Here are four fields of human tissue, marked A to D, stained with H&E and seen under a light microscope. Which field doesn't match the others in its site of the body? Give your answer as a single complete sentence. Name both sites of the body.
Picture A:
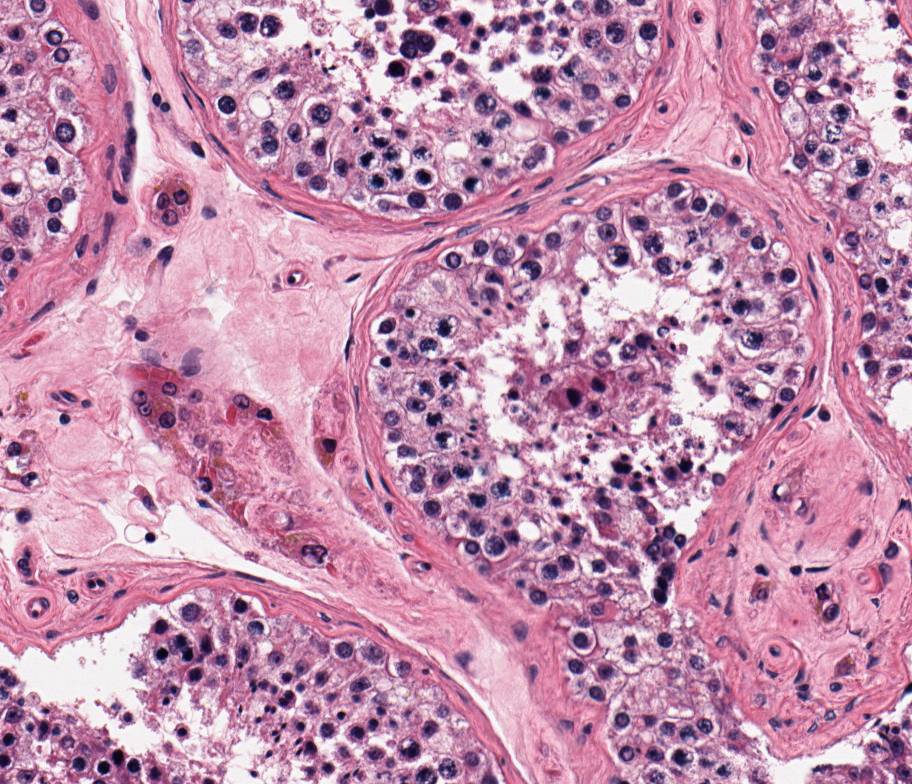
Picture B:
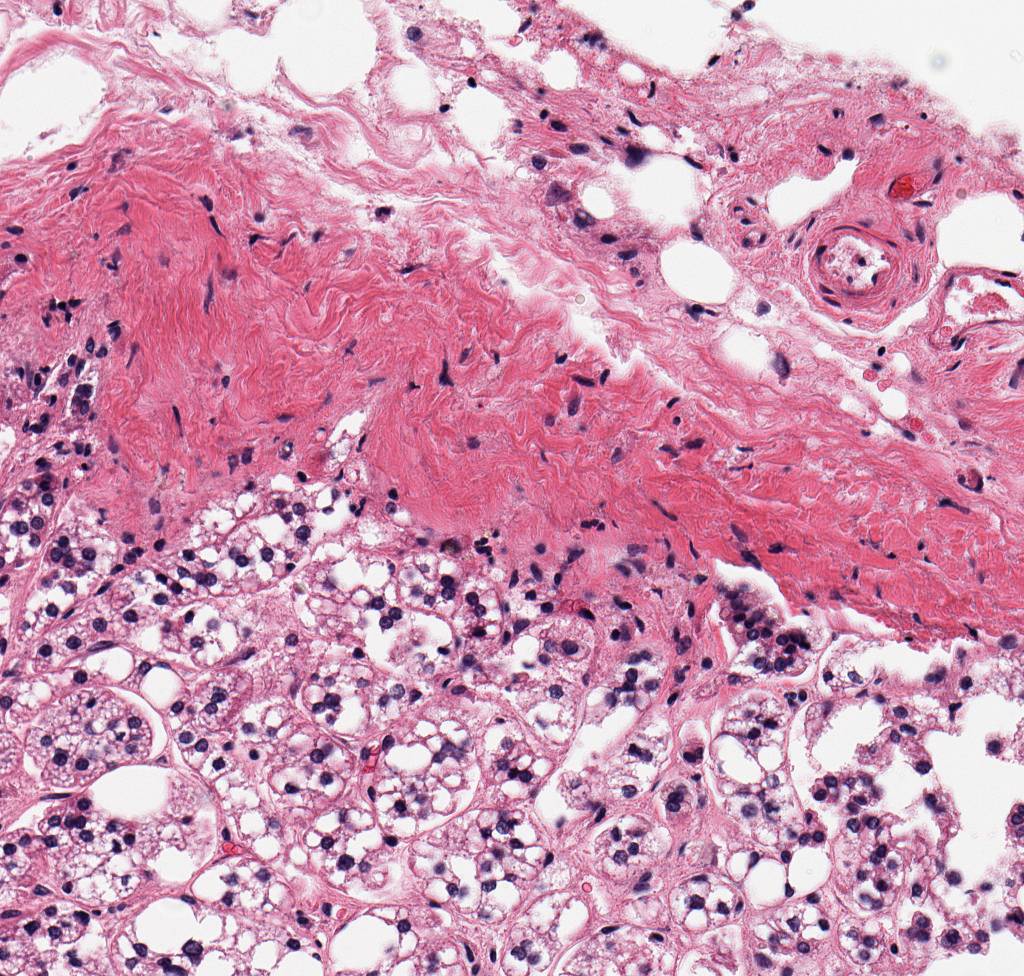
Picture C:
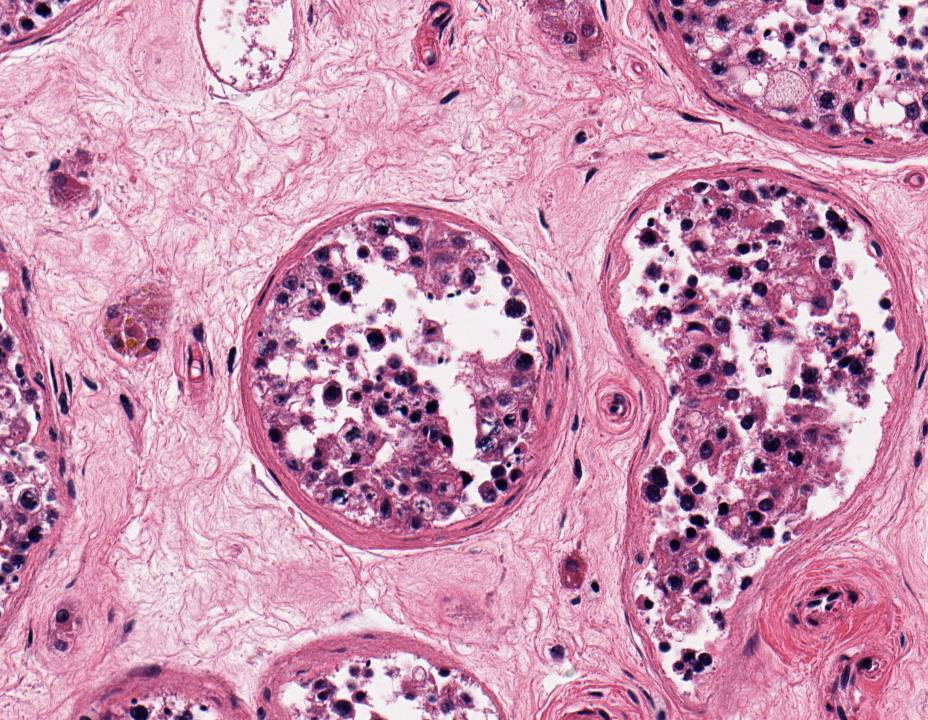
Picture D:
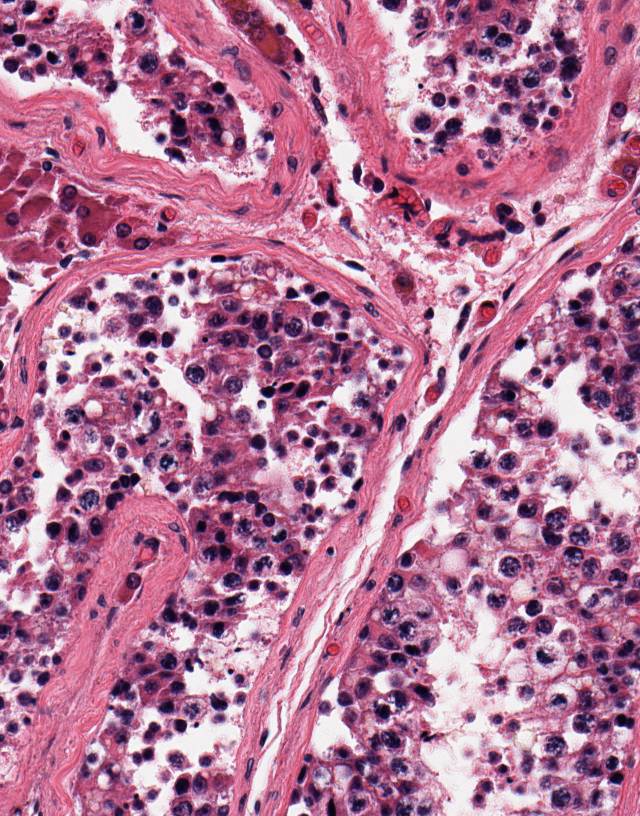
The others come from the testis, but picture B comes from the adrenal gland.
